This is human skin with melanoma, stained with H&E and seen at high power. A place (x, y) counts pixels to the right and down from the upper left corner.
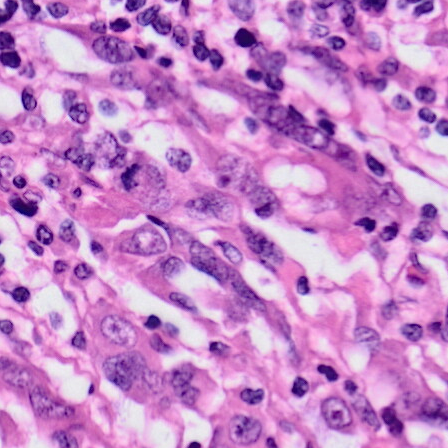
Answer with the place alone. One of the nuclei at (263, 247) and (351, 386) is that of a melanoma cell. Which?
(263, 247)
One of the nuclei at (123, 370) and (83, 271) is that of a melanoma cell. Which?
(123, 370)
